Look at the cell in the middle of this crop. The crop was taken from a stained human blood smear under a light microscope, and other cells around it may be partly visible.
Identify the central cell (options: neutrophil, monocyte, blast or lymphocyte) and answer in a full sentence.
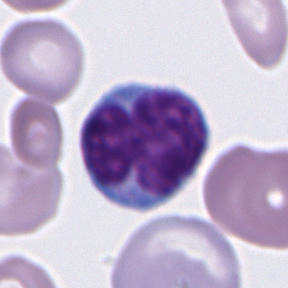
As for the central cell, it is a lymphocyte.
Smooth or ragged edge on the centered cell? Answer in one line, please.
The edge of the cell is unbroken and smooth, bearing no projections.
